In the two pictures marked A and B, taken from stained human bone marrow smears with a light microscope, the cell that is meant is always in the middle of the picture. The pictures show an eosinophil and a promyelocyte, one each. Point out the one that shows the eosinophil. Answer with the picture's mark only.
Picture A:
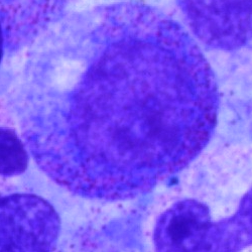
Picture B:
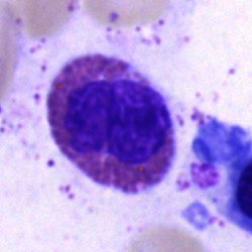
B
